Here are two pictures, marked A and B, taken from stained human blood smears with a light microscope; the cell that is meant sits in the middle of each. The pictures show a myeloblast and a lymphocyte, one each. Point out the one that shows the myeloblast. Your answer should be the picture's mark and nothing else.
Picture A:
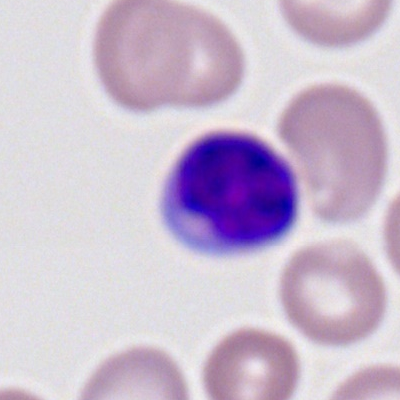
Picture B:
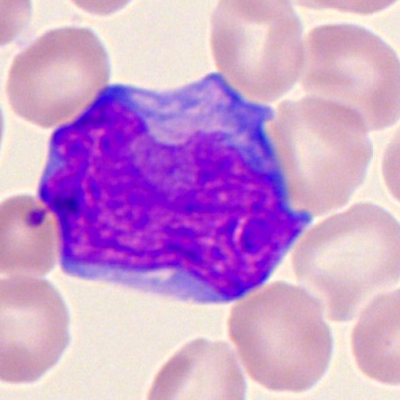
B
